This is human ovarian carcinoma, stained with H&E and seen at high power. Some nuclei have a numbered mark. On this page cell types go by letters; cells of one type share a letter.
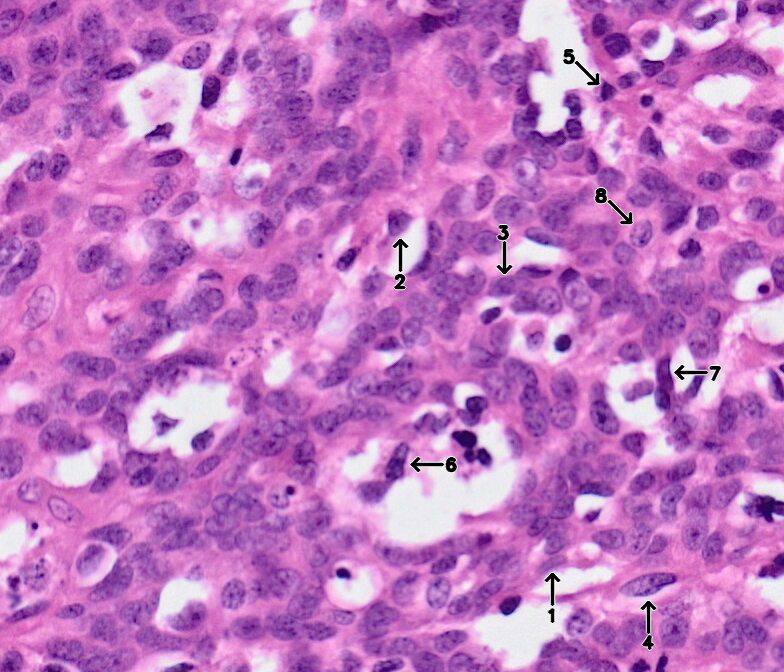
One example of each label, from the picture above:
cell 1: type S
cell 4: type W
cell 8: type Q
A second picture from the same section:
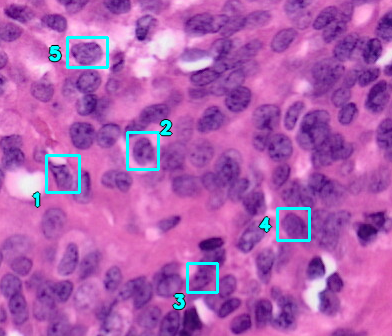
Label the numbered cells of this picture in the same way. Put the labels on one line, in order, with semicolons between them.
type W; type Q; type S; type S; type Q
